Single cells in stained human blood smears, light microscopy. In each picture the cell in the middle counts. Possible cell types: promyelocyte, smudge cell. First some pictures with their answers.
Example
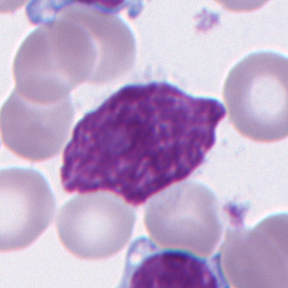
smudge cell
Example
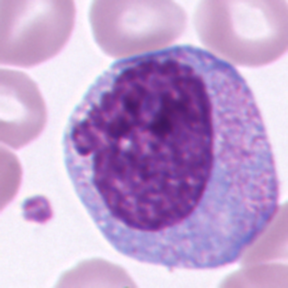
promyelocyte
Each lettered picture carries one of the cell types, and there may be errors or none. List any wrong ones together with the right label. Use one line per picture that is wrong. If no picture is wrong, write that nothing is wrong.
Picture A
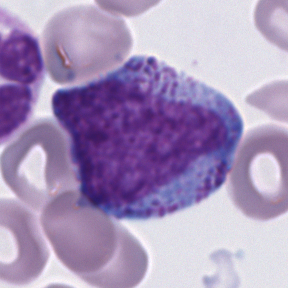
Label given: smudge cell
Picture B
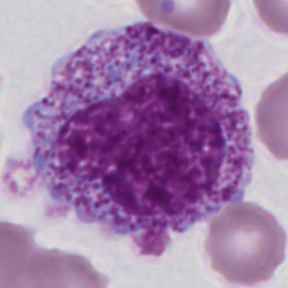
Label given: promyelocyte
Wrong: A (smudge cell); correct: promyelocyte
